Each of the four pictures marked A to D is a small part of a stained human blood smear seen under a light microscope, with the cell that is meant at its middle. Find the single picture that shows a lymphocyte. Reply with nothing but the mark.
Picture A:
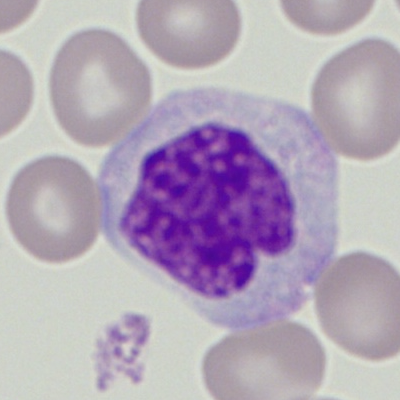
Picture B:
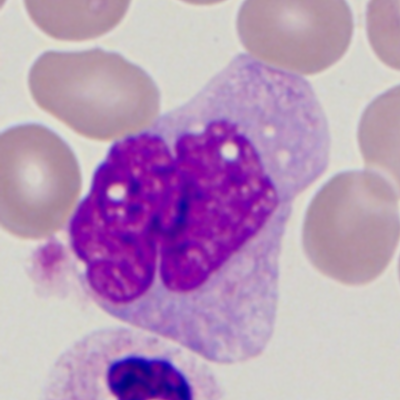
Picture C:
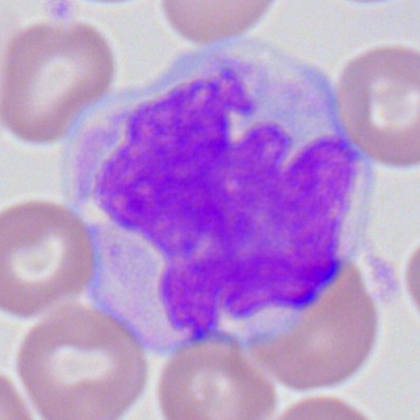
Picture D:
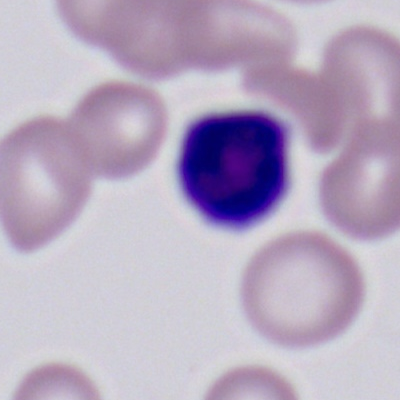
D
